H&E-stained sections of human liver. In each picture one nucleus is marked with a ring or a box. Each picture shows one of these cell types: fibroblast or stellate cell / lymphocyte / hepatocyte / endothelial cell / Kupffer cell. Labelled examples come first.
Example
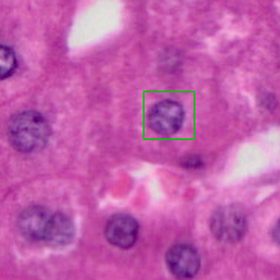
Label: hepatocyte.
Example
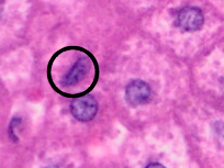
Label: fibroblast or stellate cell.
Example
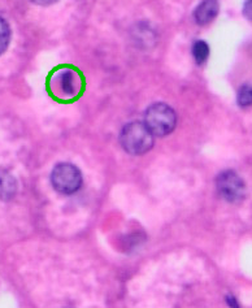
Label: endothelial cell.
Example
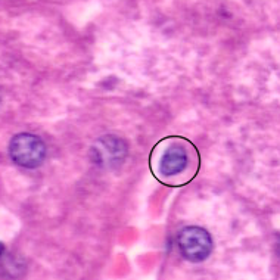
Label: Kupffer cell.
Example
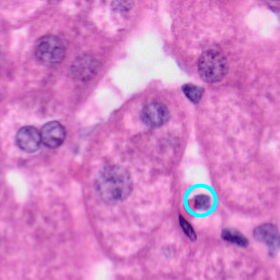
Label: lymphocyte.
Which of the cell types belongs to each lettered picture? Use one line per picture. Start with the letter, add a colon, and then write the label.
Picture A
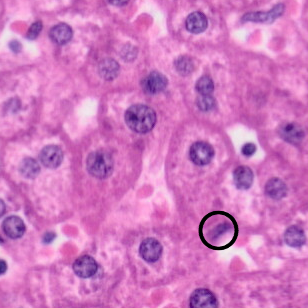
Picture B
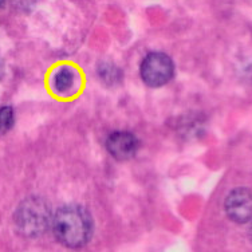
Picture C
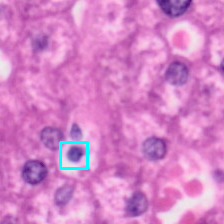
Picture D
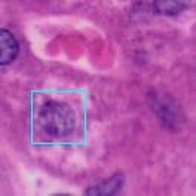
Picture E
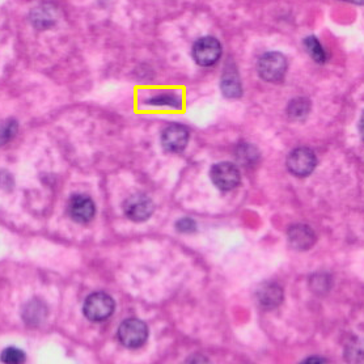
A: fibroblast or stellate cell.
B: lymphocyte.
C: lymphocyte.
D: hepatocyte.
E: endothelial cell.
